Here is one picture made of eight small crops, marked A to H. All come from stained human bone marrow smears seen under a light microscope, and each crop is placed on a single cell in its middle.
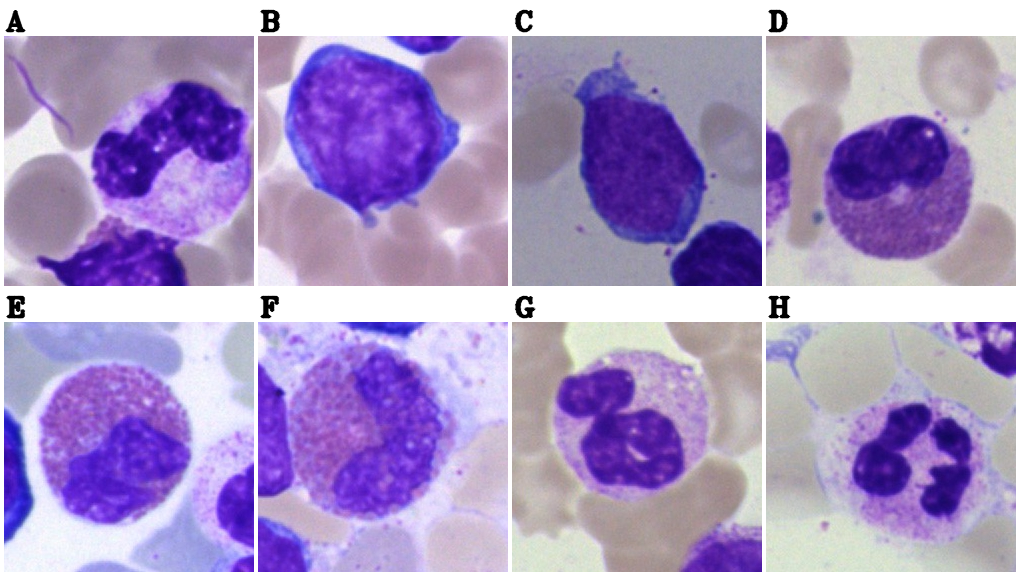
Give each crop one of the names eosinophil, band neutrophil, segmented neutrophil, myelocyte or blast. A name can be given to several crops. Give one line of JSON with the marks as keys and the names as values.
{"A": "band neutrophil", "B": "blast", "C": "blast", "D": "eosinophil", "E": "eosinophil", "F": "eosinophil", "G": "segmented neutrophil", "H": "segmented neutrophil"}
